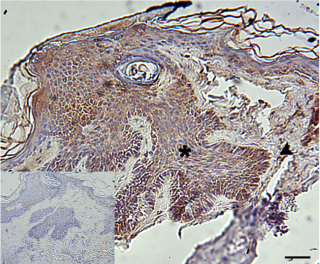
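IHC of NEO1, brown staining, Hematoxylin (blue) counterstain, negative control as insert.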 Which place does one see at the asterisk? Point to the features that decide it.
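The asterisk lies inside a large brown-stained cellular nest. Looser stroma lies at the nest's edge.
Hence: bulk of tumors.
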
